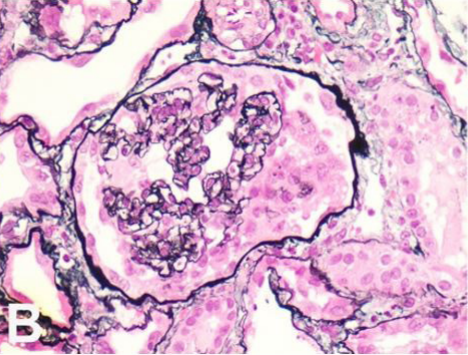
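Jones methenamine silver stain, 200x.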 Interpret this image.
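The capillary loops of the tuft are wrinkled and crumpled together, with few open lumens, so the tuft appears shrunken. Around and over it lie many enlarged, crowded visceral epithelial cells with pale pink cytoplasm and round nuclei, filling much of the space between the tuft and the capsule. The surrounding tubules have pink cytoplasm, and their basement membranes are also outlined in black.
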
